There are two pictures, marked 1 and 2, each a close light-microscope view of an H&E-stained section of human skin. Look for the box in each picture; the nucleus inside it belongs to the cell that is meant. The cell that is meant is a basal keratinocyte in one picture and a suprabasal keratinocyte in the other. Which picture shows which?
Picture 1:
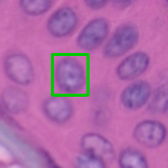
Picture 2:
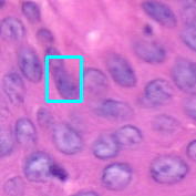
1: suprabasal keratinocyte
2: basal keratinocyte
